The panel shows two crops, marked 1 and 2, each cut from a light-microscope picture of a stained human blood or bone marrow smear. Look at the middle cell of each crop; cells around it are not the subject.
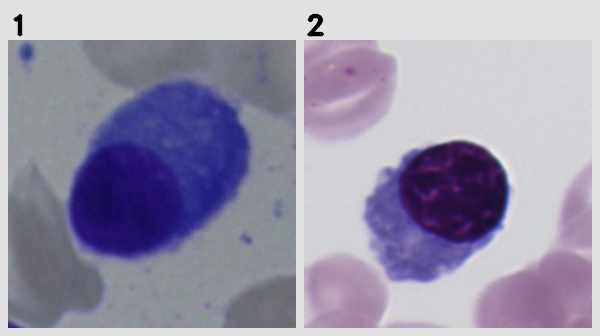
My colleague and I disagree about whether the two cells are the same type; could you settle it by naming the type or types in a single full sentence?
No, crop 1 holds a plasma cell, and a normoblast occupies crop 2.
